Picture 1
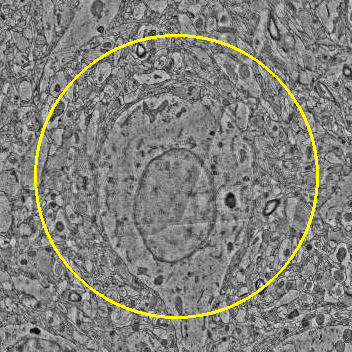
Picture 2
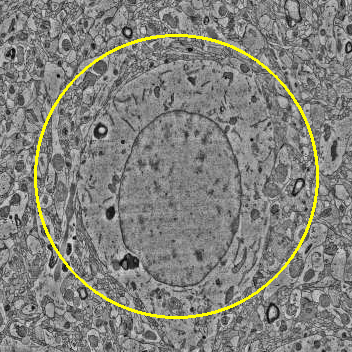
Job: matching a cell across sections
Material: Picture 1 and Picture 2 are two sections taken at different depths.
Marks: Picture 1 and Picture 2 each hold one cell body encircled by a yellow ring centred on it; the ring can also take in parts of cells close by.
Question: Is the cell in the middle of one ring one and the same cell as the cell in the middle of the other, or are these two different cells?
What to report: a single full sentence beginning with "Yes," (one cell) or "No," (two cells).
Yes, the two rings belong to one cell, not to two.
